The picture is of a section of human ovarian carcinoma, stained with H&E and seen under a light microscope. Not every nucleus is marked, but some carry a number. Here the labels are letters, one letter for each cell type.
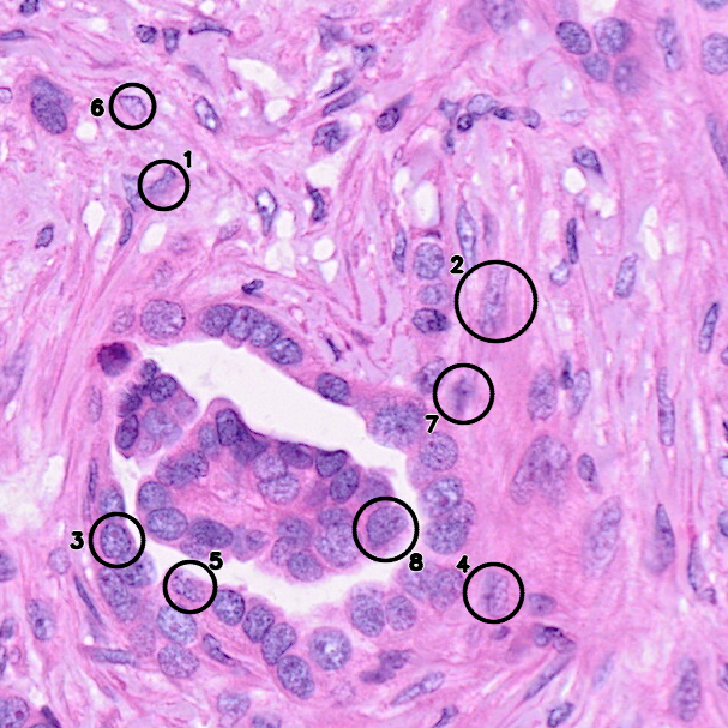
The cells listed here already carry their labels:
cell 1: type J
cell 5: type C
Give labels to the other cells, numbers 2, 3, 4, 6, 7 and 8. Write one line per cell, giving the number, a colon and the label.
2: type J
3: type C
4: type J
6: type J
7: type J
8: type C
